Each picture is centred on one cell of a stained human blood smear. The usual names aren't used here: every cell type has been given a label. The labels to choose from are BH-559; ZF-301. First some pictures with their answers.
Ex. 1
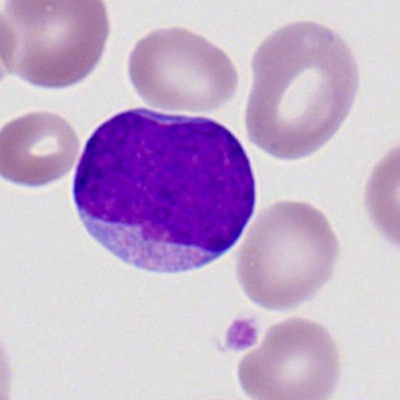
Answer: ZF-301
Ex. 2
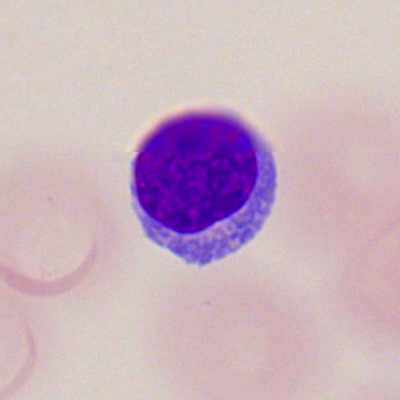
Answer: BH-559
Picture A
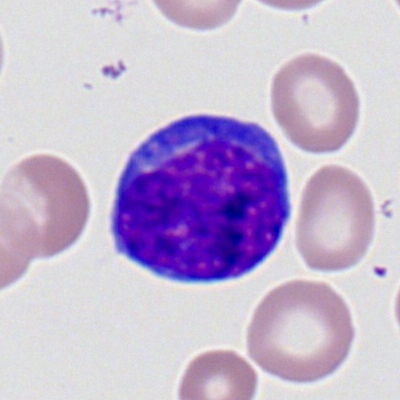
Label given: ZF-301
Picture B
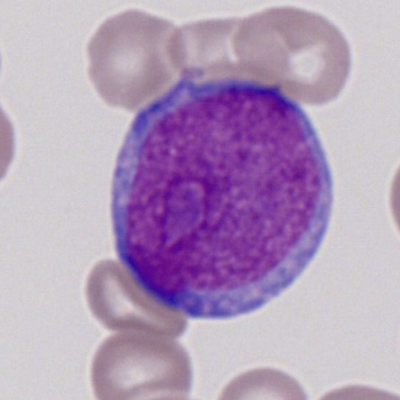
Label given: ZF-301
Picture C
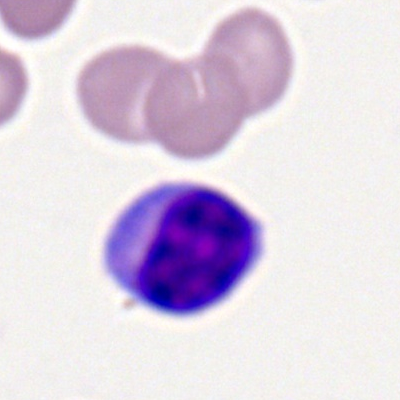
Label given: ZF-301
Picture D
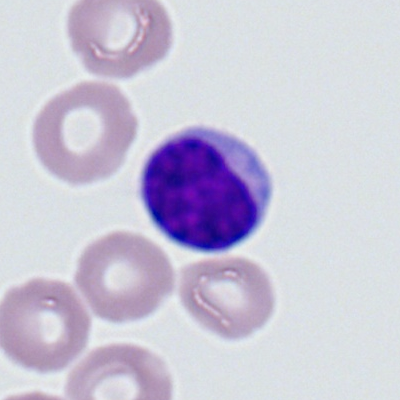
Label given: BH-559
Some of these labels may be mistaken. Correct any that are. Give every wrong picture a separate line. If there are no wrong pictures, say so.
Wrong: C (ZF-301); correct: BH-559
